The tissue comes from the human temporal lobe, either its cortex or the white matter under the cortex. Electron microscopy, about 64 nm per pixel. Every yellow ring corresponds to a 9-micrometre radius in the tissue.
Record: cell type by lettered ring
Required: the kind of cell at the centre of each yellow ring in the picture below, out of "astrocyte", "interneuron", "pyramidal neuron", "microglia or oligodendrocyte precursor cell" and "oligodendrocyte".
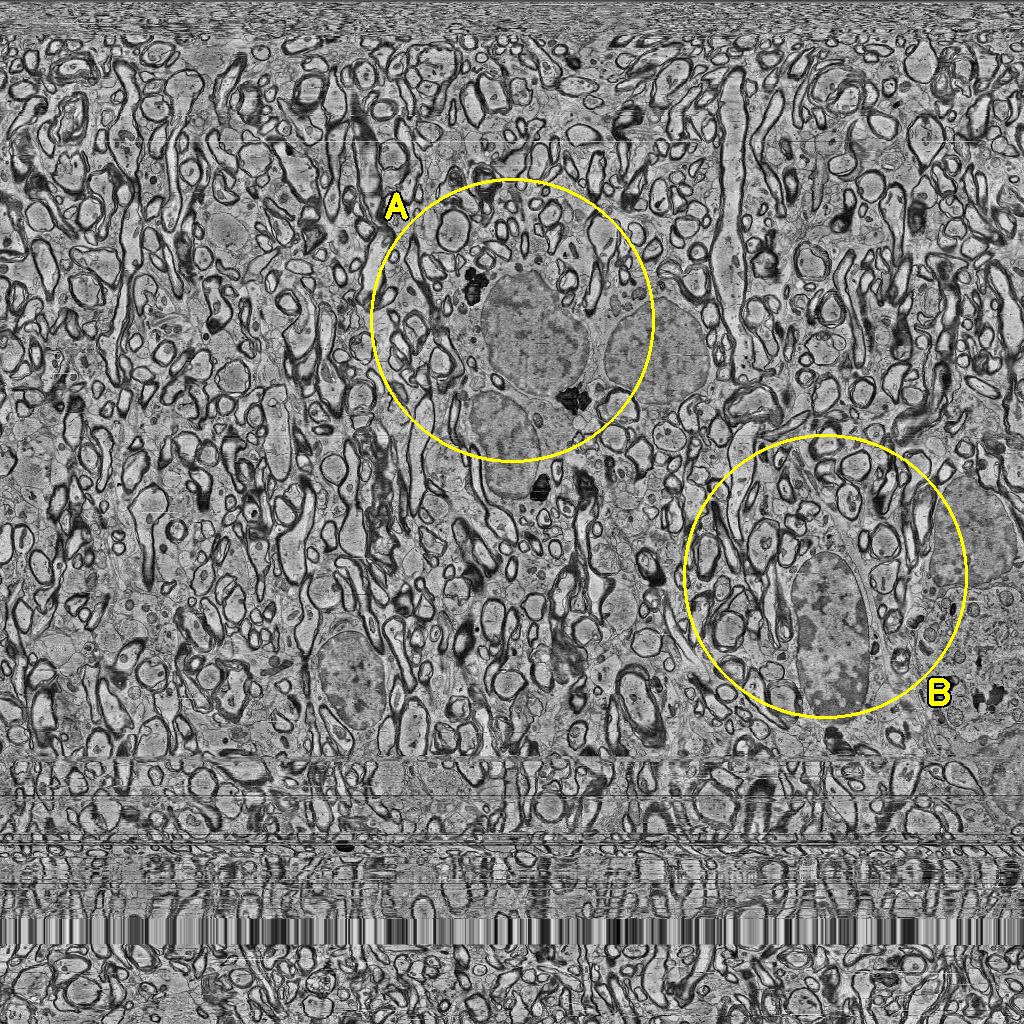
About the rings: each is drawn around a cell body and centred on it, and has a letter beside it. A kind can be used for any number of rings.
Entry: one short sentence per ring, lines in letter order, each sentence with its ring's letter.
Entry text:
At ring A we have an oligodendrocyte.
At ring B we have a microglial cell or oligodendrocyte precursor cell.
